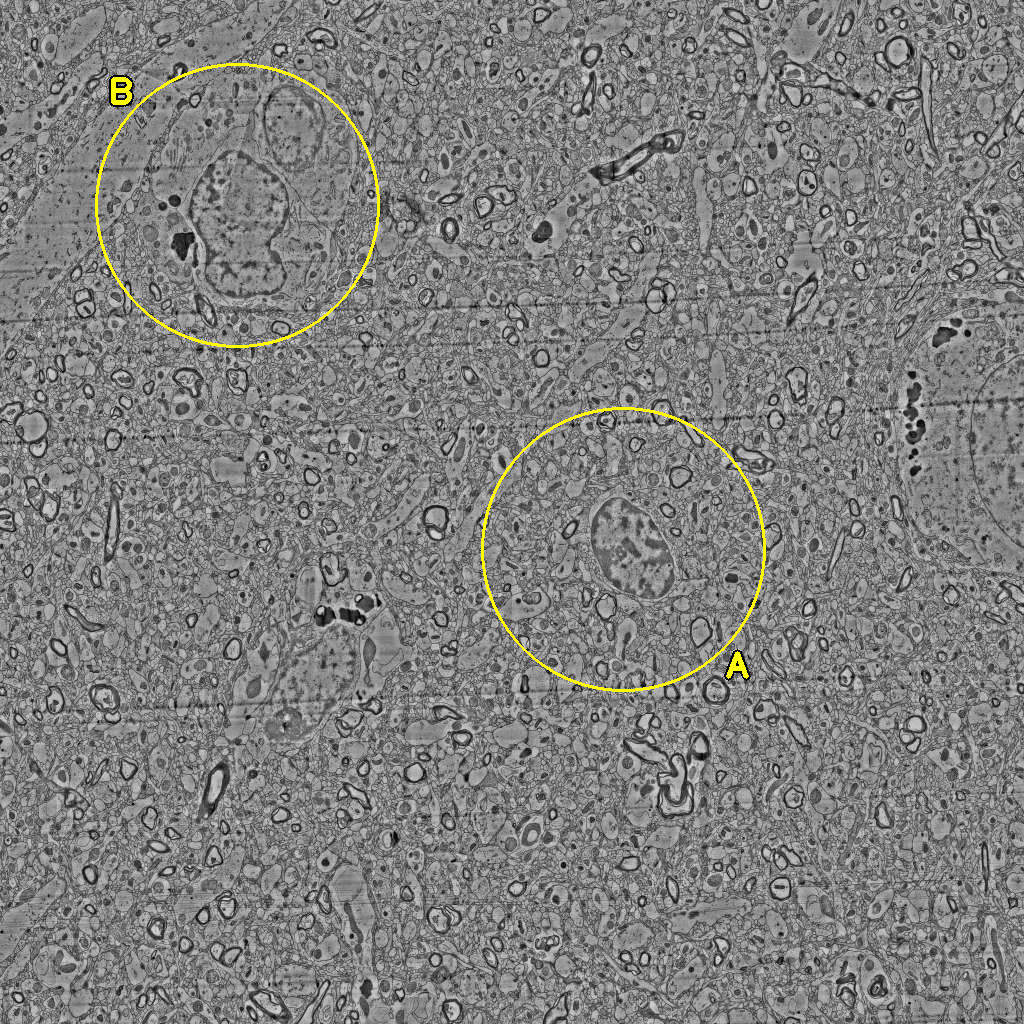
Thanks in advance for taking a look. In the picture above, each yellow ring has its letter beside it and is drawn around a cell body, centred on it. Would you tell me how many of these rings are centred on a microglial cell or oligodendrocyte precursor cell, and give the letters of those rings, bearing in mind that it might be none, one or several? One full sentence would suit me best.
Every ring in the group lettered A and B is centred on a microglial cell or oligodendrocyte precursor cell, and the group numbers two.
